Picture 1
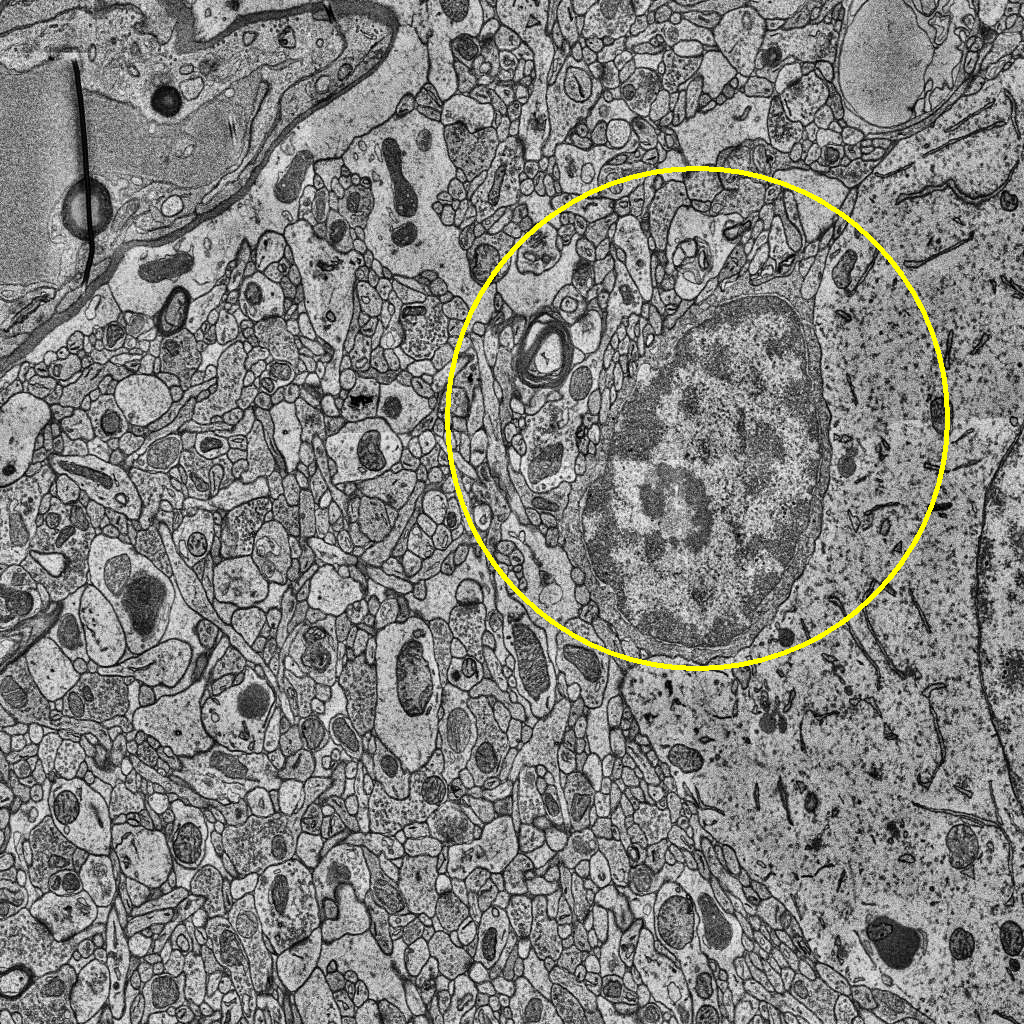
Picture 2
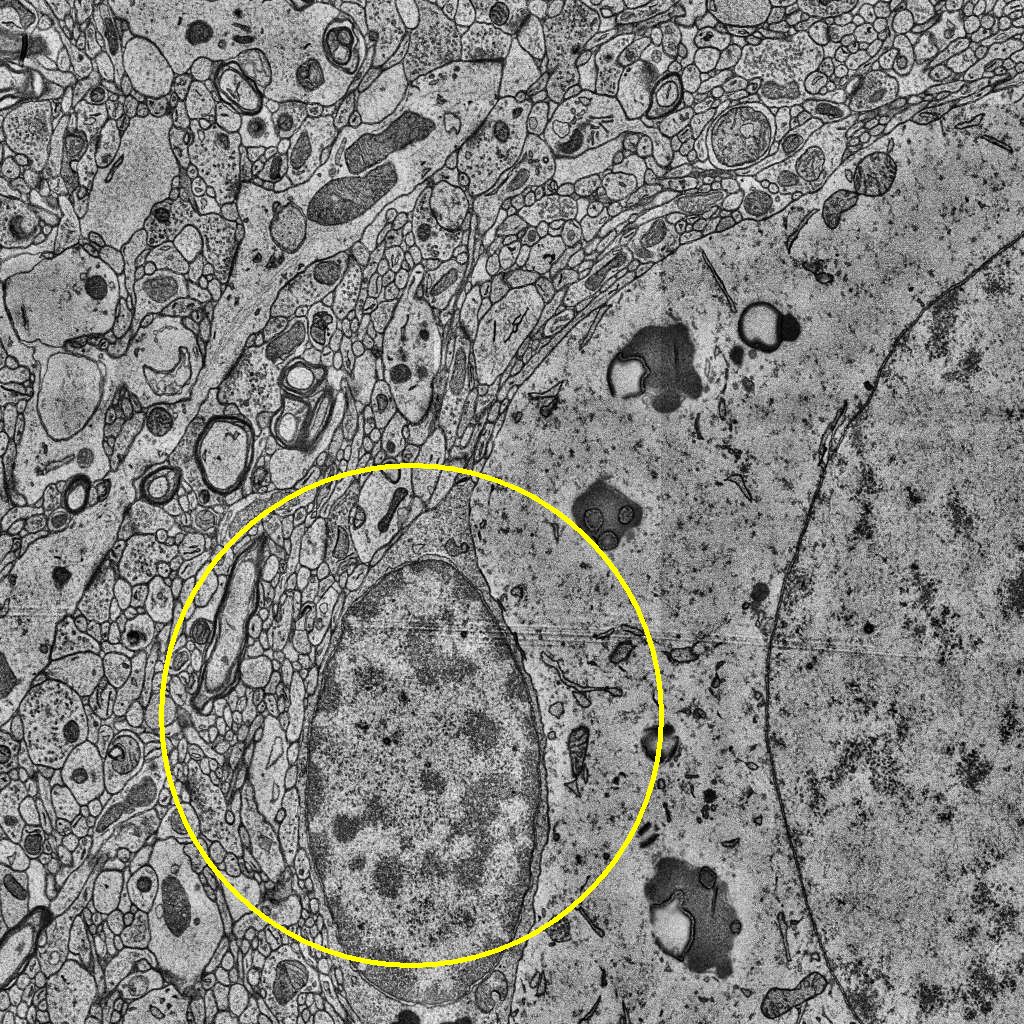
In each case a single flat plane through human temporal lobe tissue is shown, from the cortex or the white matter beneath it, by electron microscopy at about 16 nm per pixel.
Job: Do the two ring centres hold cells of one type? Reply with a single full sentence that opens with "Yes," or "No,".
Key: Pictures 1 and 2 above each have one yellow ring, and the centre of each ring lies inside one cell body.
Yes, the cells at the two ring centres are of one single type.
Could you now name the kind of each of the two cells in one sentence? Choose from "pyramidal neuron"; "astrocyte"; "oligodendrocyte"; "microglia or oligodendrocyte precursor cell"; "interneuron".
Both pictures show an oligodendrocyte at the centre of the ring.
